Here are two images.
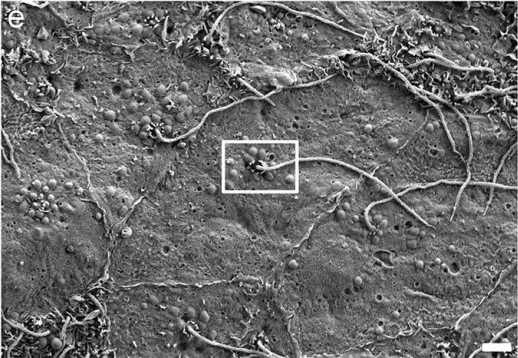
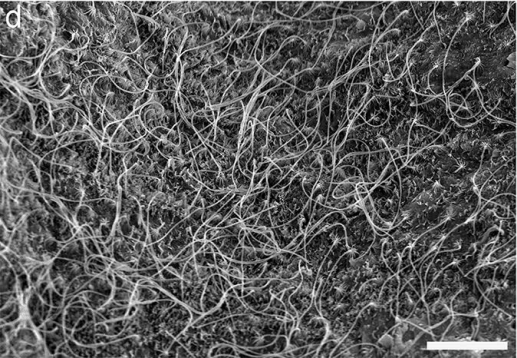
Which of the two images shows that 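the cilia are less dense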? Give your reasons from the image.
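First image: only scattered filaments cross a largely bare surface. Second image: a thick tangled mat of filaments covers nearly the whole surface.
Hence: the first image.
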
